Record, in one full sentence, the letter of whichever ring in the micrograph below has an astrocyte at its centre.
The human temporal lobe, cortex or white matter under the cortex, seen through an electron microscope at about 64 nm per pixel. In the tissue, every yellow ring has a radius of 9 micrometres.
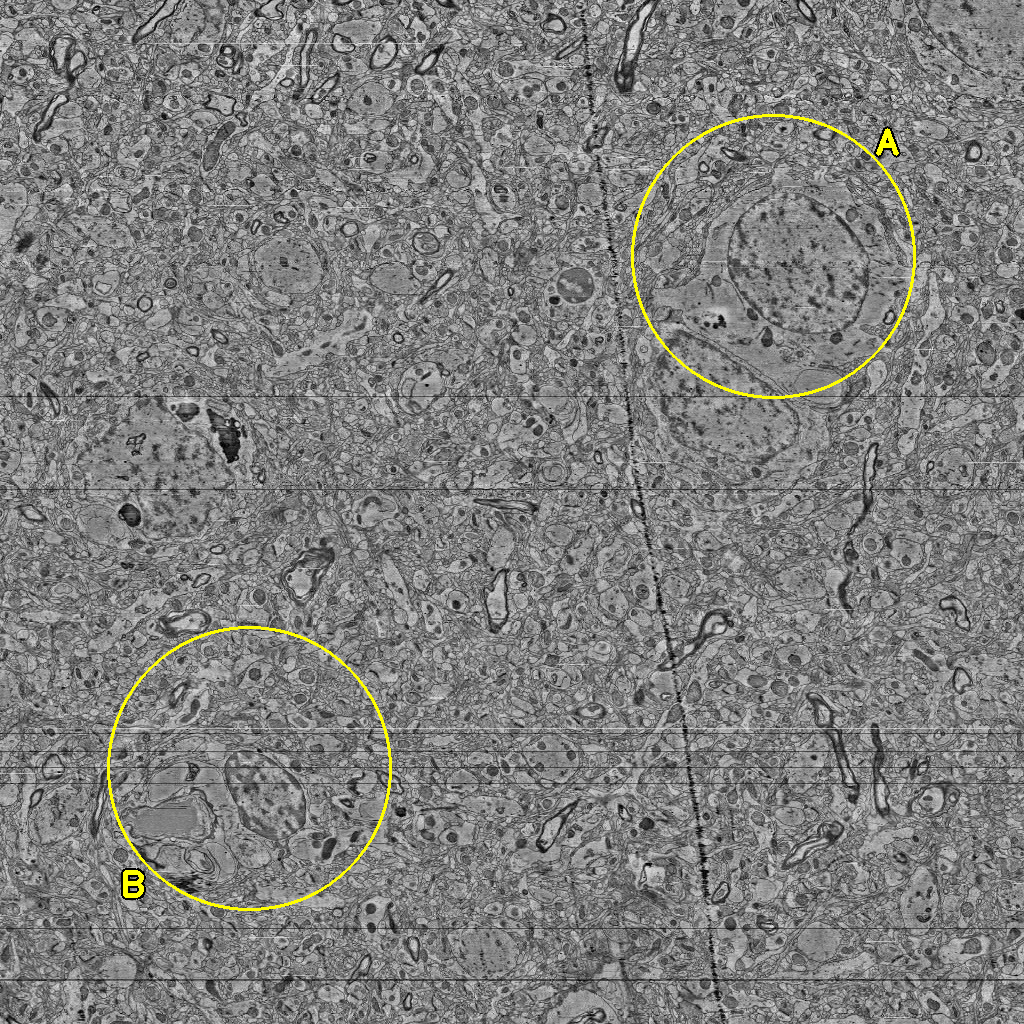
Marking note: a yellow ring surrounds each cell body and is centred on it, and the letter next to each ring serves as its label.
For the cell asked for, the ring centred on it carries the letter A.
